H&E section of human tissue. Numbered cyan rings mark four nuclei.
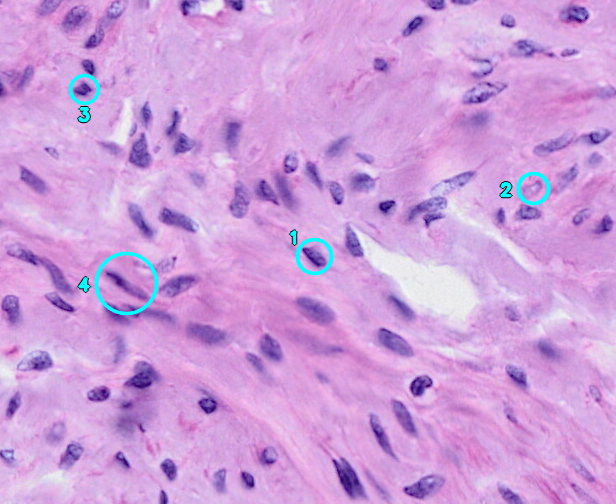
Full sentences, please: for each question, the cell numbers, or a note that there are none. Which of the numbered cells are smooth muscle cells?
Cell 2, and no other numbered cell, is a smooth muscle cell.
